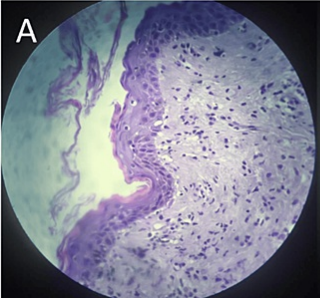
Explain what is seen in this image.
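Skin with a stratified squamous epidermis resting on a loose, pale pink dermis. The epidermis is several cell layers thick, with purple nuclei in the lower layers. Along the junction with the dermis the bottom cell layer looks clear and vacuolated rather than forming a crisp row. The dermis beneath holds scattered spindle and round nuclei in a lightly stained matrix. A thin wavy pink cornified layer lifts off the surface.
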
